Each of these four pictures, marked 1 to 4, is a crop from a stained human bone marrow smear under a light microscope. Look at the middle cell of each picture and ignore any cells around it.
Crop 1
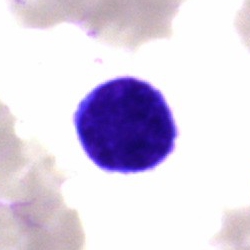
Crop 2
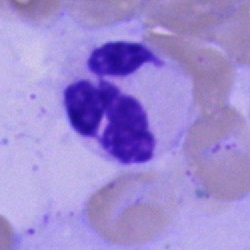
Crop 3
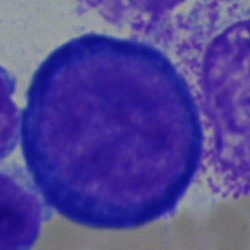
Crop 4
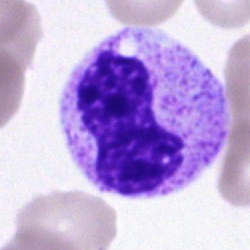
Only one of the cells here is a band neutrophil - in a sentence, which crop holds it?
The crop marked 4 is the one in which a band neutrophil is shown.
